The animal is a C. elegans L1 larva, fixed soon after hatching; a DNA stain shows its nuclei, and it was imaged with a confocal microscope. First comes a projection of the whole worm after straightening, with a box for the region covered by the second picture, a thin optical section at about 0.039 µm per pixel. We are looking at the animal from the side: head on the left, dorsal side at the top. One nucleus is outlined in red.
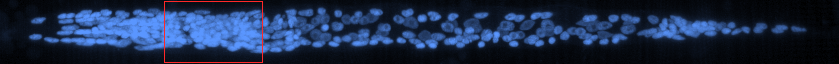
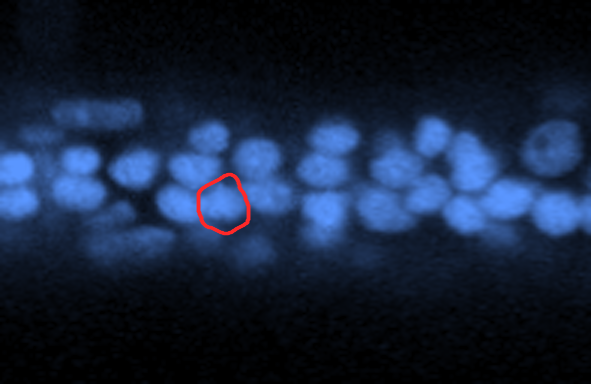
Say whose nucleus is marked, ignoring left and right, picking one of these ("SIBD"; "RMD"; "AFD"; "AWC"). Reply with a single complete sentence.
This is the nucleus of SIBD, a neuron.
